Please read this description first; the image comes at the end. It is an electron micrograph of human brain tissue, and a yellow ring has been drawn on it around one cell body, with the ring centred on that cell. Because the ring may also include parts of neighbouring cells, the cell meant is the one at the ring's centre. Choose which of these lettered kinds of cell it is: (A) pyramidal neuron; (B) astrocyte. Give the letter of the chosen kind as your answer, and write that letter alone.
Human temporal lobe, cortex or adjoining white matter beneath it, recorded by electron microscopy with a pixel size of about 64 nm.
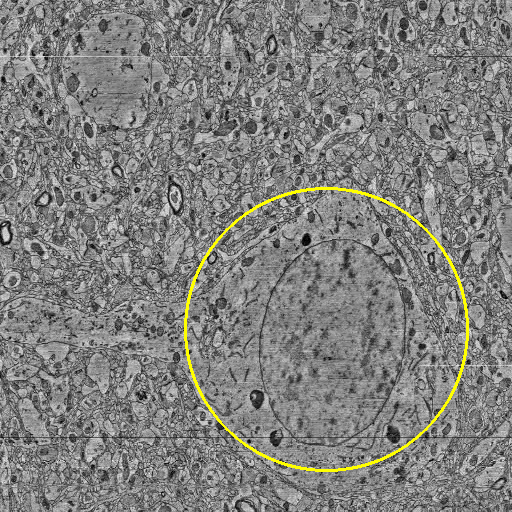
A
